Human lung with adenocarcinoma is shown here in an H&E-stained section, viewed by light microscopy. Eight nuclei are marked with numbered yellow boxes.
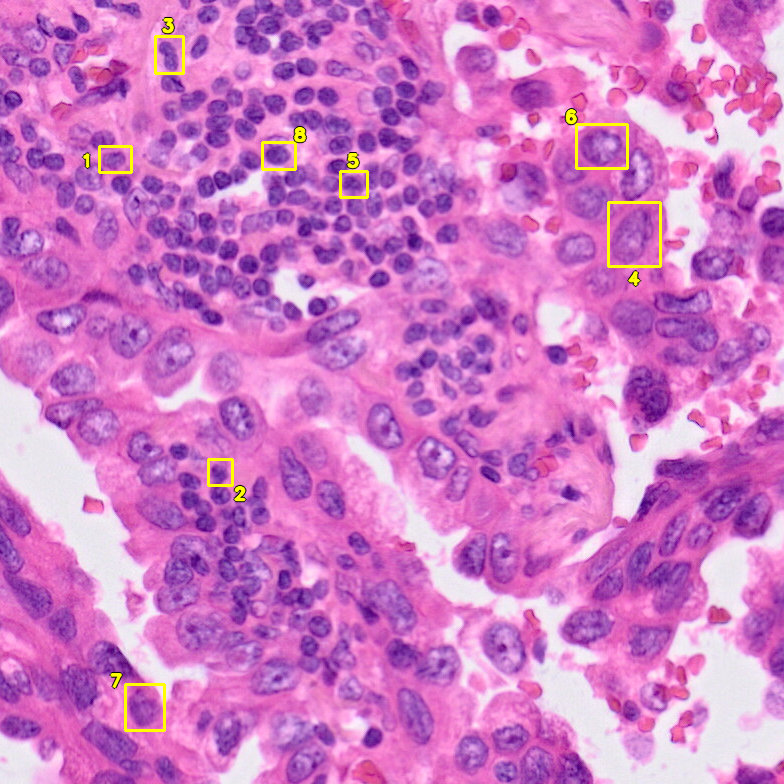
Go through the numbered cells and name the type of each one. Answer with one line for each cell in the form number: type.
1: lymphocyte
2: lymphocyte
3: lymphocyte
4: carcinoma cell
5: lymphocyte
6: carcinoma cell
7: carcinoma cell
8: lymphocyte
